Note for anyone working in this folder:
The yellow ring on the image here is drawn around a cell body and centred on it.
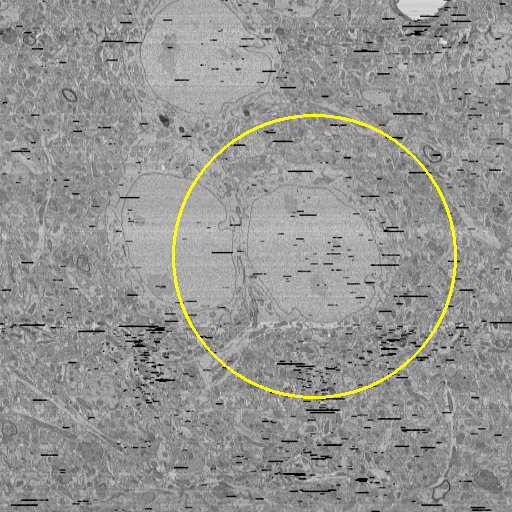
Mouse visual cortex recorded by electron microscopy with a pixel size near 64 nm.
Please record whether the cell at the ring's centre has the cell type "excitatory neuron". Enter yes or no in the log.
yes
